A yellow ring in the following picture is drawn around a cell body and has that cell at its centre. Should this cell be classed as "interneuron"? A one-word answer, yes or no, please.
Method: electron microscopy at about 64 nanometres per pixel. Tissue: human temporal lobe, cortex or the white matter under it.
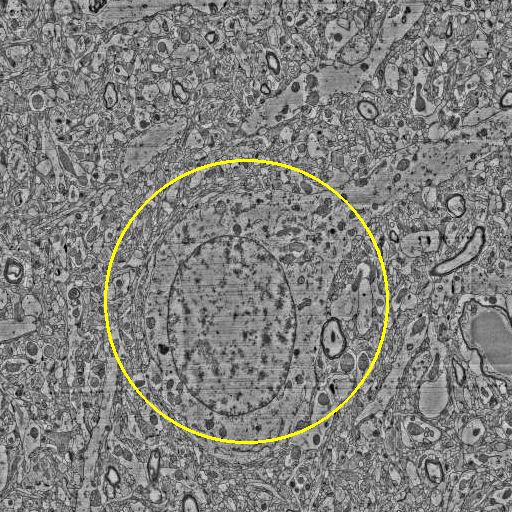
No, it is of another kind.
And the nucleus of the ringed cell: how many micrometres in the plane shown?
Approximately 12 micrometres long and 9 micrometres wide, in this plane.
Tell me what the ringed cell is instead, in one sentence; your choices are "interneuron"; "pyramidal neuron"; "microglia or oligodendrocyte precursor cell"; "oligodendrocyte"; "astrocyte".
Instead, the ring in this picture marks a pyramidal neuron.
